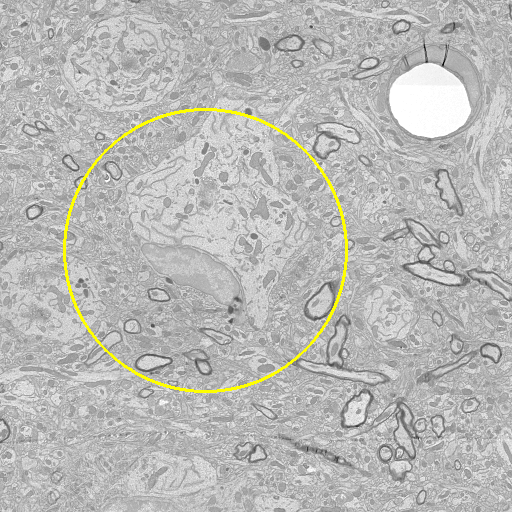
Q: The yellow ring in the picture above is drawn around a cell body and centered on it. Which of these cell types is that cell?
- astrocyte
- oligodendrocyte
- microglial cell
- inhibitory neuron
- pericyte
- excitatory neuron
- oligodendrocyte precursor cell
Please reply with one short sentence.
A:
The cell body at the ring's center belongs to a microglial cell.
